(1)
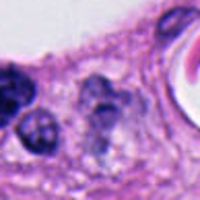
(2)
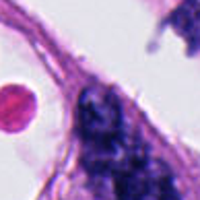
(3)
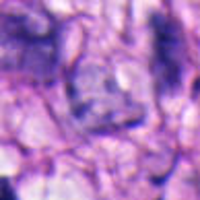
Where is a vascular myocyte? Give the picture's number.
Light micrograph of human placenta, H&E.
3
